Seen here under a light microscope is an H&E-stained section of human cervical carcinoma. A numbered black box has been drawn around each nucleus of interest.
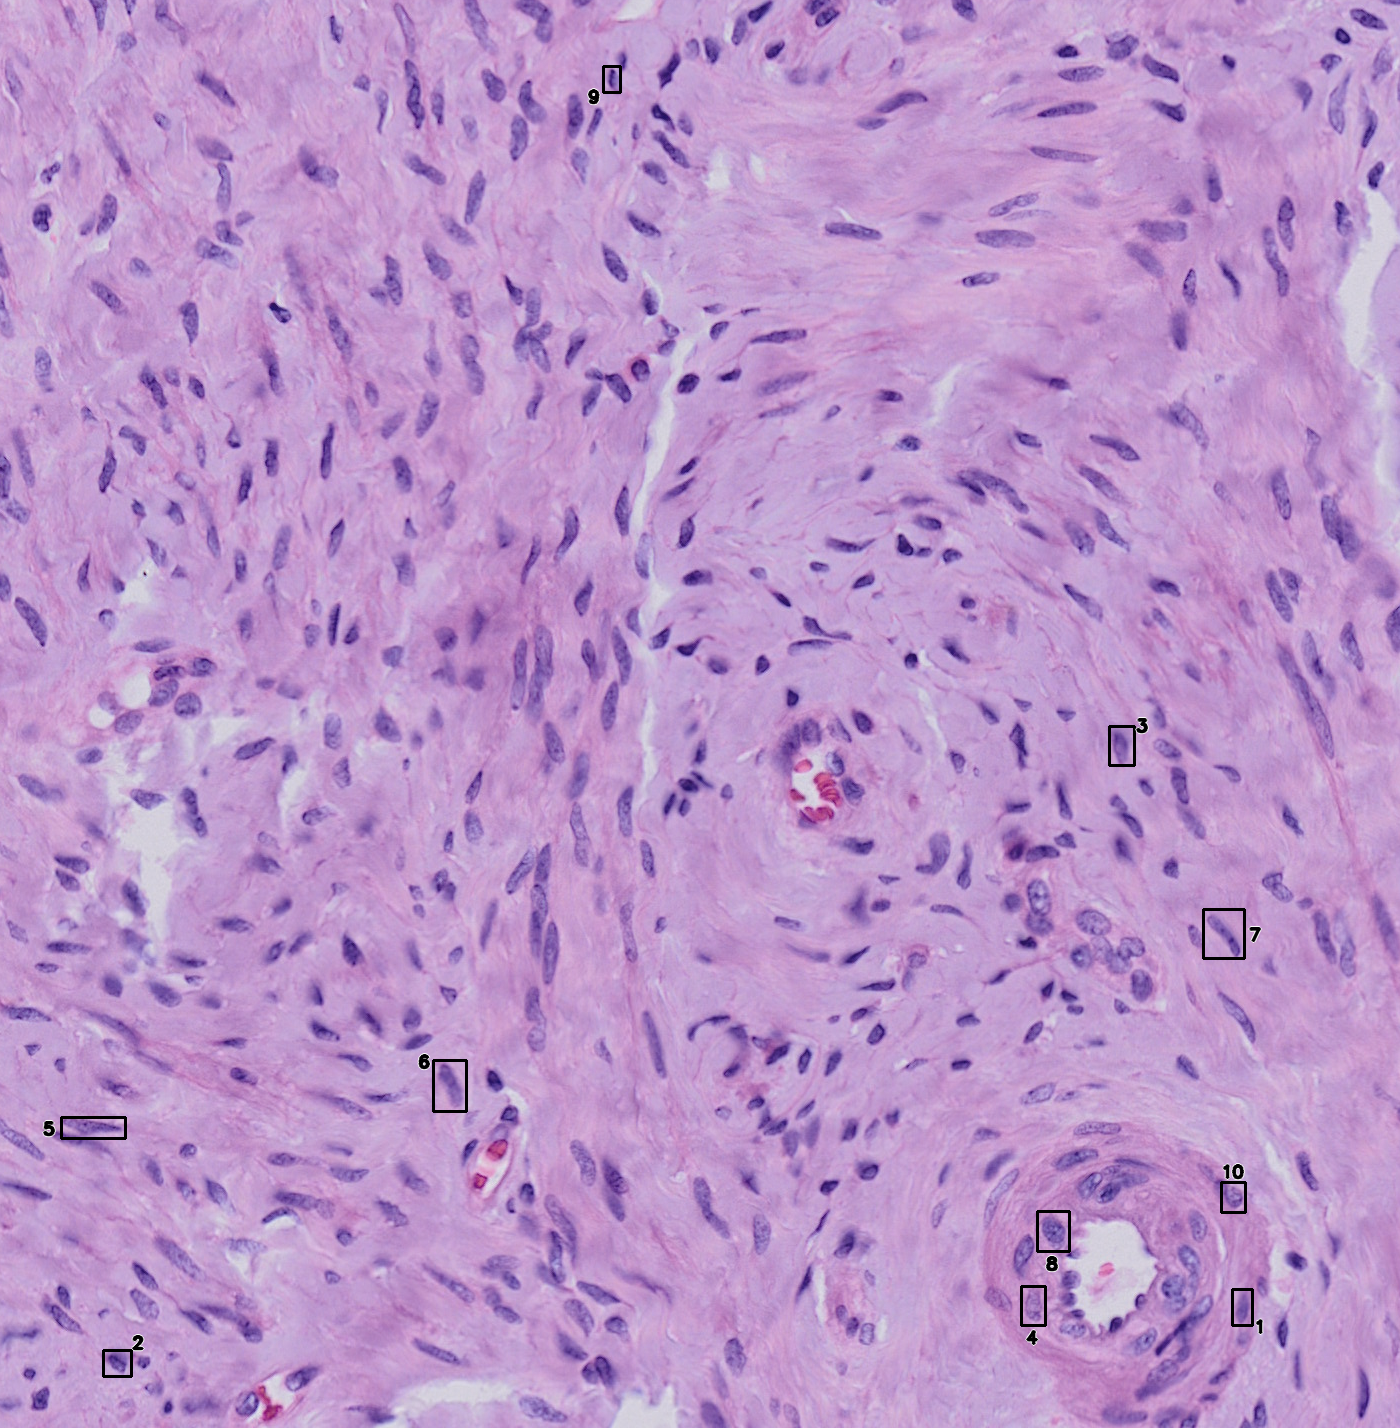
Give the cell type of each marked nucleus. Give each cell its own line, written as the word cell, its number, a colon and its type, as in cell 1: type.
cell 1: smooth muscle cell
cell 2: fibroblast
cell 3: fibroblast
cell 4: smooth muscle cell
cell 5: fibroblast
cell 6: fibroblast
cell 7: fibroblast
cell 8: smooth muscle cell
cell 9: fibroblast
cell 10: smooth muscle cell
